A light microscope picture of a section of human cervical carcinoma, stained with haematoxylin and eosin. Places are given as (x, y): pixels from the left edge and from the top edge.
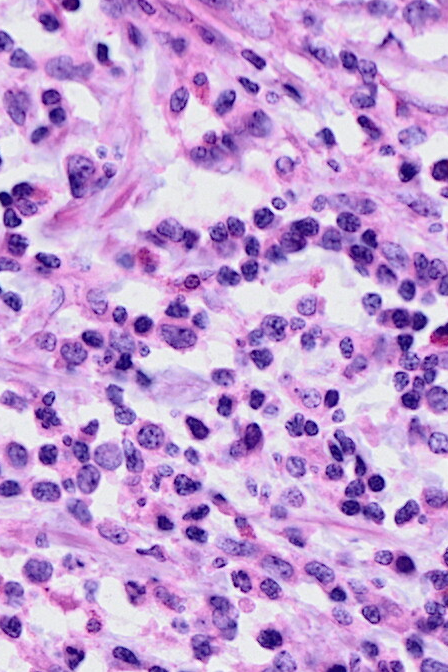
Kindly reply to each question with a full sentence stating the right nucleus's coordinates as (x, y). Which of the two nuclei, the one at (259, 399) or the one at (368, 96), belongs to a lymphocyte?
Located at (259, 399), this nucleus is the one belonging to a lymphocyte.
